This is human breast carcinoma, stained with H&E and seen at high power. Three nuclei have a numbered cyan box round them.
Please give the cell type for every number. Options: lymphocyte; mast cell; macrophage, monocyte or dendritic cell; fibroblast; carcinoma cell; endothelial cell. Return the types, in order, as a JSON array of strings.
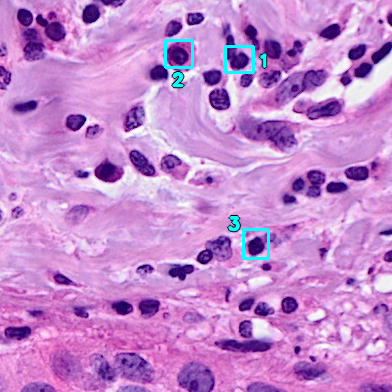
["lymphocyte", "mast cell", "lymphocyte"]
